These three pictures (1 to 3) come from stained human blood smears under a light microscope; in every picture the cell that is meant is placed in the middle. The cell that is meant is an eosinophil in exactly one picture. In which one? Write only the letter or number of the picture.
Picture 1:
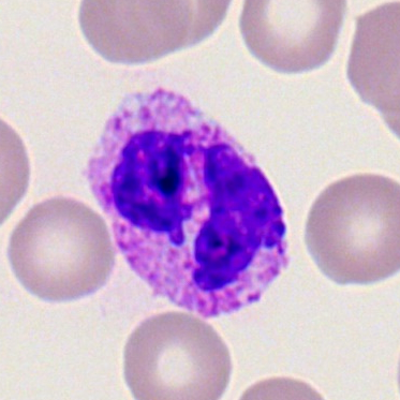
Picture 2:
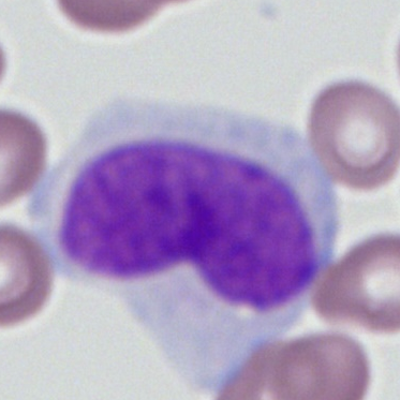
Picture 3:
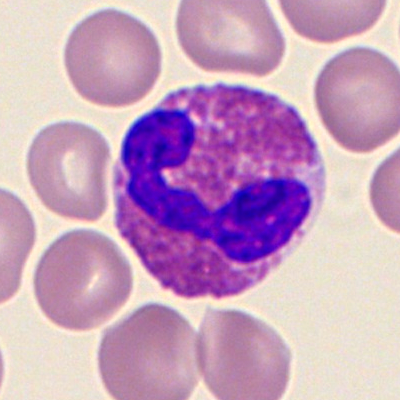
3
